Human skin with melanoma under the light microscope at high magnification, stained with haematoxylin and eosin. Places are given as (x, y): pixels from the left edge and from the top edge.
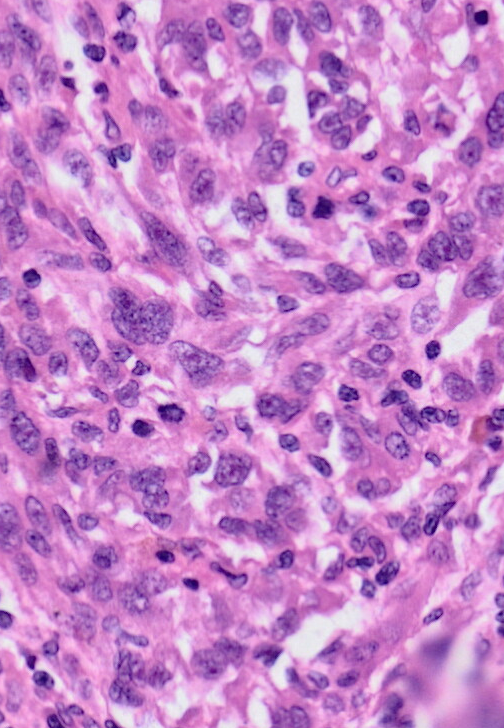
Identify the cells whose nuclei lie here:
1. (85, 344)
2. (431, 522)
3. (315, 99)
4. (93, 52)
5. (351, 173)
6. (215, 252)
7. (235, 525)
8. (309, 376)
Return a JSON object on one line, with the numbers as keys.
{"1": "melanoma cell", "2": "lymphocyte", "3": "melanoma cell", "4": "lymphocyte", "5": "endothelial cell", "6": "melanoma cell", "7": "melanoma cell", "8": "melanoma cell"}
